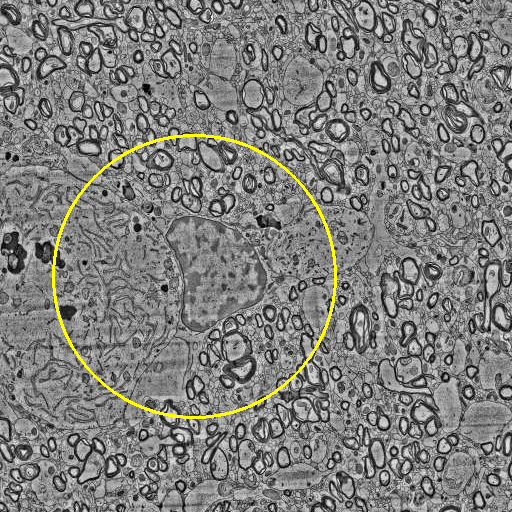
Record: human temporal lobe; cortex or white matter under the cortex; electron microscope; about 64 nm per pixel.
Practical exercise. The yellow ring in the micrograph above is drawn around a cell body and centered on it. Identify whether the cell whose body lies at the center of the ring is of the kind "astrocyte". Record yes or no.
no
